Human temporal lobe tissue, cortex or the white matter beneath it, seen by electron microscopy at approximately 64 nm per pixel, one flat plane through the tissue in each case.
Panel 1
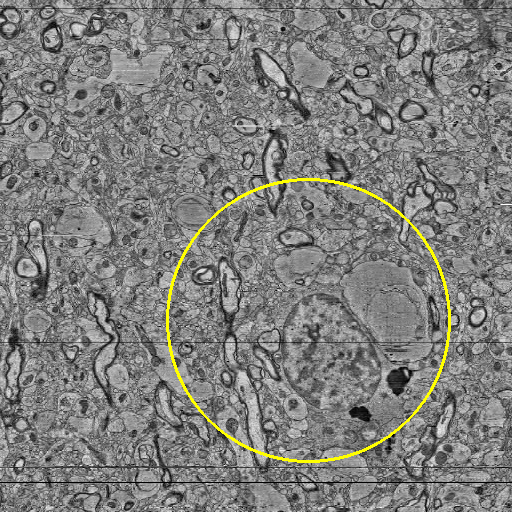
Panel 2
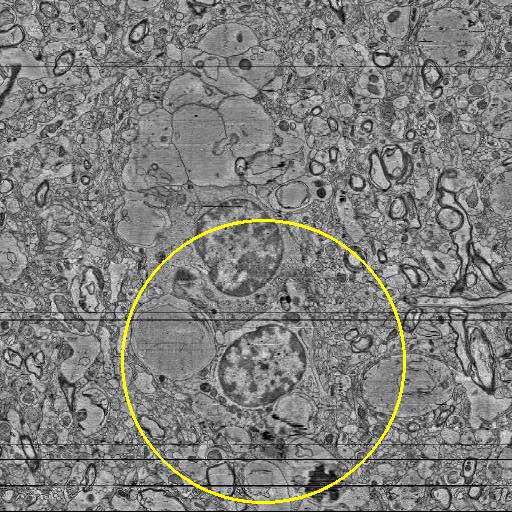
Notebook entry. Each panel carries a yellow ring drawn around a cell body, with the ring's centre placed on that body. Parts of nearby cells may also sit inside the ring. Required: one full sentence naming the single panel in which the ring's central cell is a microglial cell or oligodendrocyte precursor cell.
Panel 2 is the single one with the sought cell at its ring's centre.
